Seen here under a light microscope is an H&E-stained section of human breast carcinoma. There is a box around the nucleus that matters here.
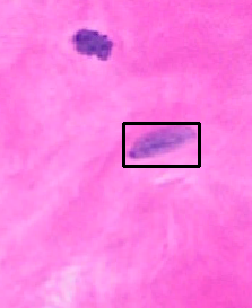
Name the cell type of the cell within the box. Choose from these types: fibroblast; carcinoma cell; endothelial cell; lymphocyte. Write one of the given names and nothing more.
fibroblast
